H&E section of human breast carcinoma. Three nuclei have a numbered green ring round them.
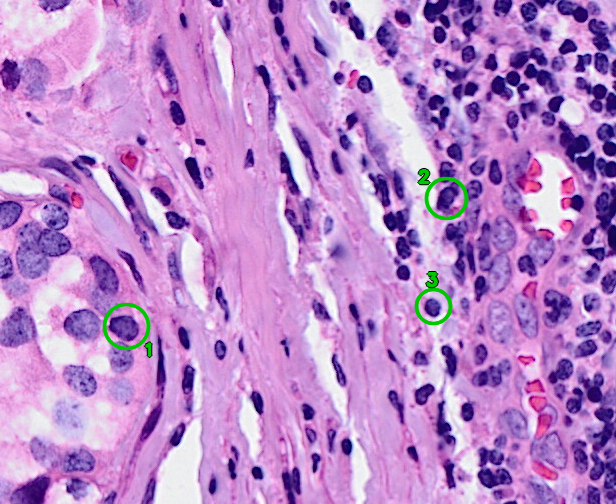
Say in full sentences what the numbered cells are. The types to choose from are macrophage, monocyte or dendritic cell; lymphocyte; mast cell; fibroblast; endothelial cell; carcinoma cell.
Cell 1 is a carcinoma cell, cell 2 is a lymphocyte and cell 3 is a lymphocyte.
